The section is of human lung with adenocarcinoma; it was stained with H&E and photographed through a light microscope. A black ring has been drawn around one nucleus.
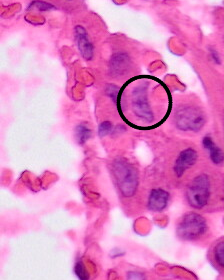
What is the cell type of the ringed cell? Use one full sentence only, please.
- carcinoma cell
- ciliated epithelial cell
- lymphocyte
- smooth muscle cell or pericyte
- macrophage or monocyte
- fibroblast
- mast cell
In this section, the ringed cell is a macrophage or monocyte.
